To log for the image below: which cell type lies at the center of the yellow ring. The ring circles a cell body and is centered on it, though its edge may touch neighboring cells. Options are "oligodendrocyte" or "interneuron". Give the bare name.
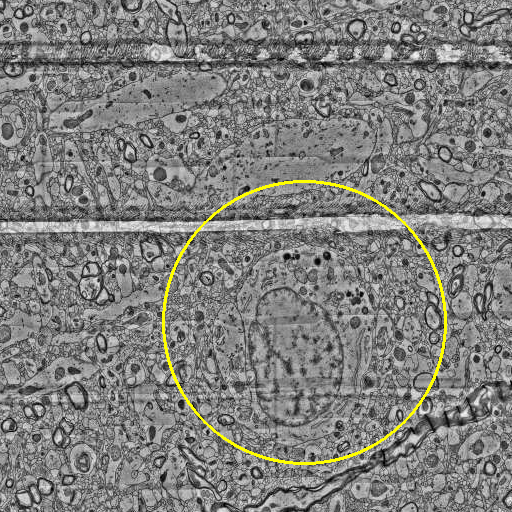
interneuron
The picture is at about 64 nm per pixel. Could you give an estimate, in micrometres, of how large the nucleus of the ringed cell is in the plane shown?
In this plane the nucleus is about 9 micrometres by 6.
